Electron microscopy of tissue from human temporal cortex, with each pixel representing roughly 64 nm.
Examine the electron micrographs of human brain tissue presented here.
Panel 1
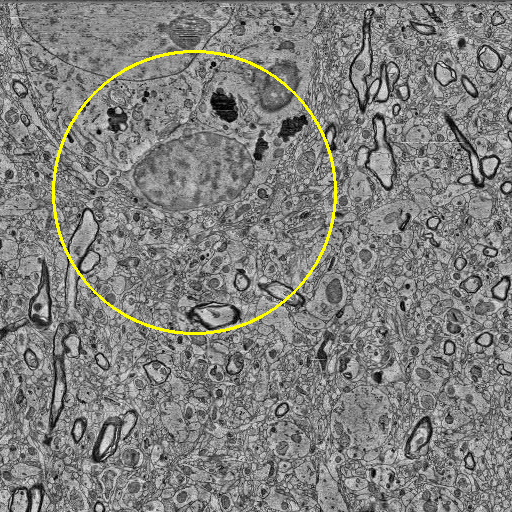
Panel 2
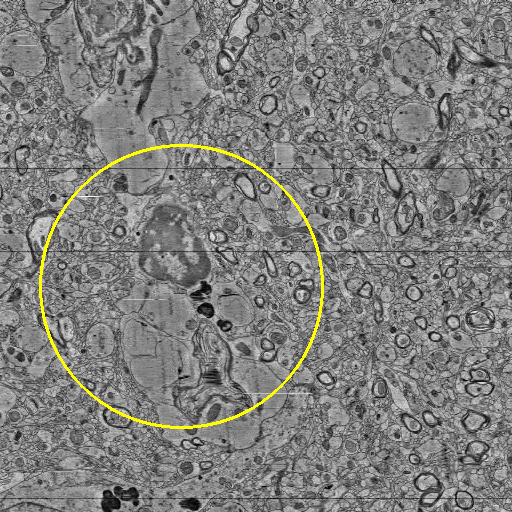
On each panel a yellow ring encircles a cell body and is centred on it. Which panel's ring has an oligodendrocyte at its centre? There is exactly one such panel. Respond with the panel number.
1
